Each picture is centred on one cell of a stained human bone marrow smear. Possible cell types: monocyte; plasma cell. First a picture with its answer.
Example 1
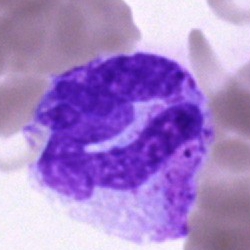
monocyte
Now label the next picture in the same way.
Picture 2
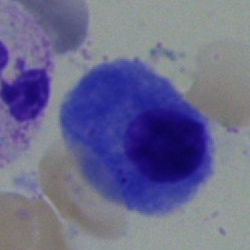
plasma cell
